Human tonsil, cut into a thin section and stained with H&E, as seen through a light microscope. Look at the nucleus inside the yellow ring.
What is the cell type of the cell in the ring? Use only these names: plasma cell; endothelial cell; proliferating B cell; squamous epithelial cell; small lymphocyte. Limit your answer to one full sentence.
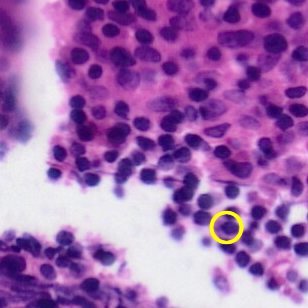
In terms of identity, the cell in the ring is a small lymphocyte.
